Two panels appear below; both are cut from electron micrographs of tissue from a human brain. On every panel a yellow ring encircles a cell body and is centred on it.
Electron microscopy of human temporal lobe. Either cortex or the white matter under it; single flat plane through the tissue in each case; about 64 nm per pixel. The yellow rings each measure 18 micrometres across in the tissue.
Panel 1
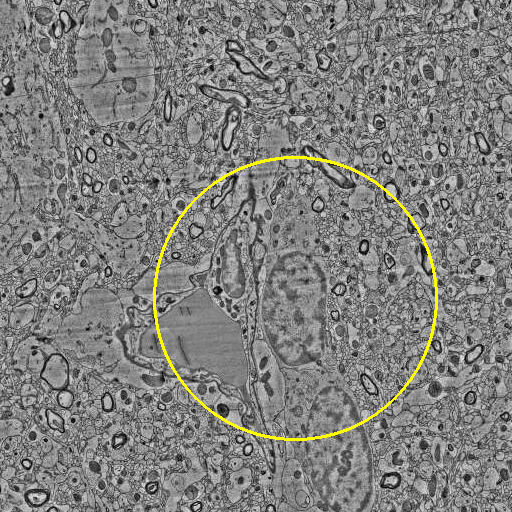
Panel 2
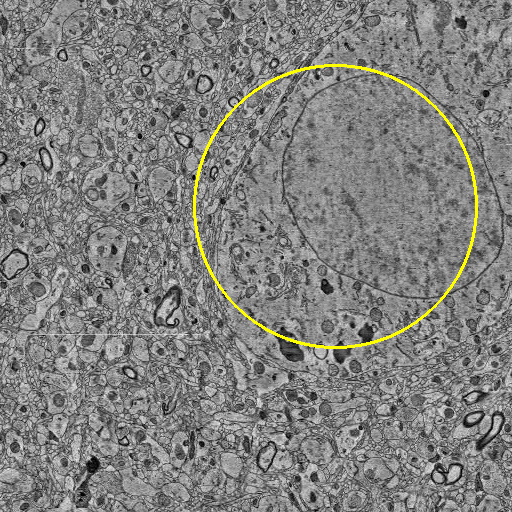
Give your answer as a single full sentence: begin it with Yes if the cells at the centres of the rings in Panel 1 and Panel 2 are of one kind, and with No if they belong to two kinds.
No, the cells in the middle of the rings in Panels 1 and 2 are of two kinds.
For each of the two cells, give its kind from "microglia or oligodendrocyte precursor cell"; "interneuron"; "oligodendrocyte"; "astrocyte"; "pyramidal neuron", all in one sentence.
The first picture has an oligodendrocyte in its ring, the second has a pyramidal neuron.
